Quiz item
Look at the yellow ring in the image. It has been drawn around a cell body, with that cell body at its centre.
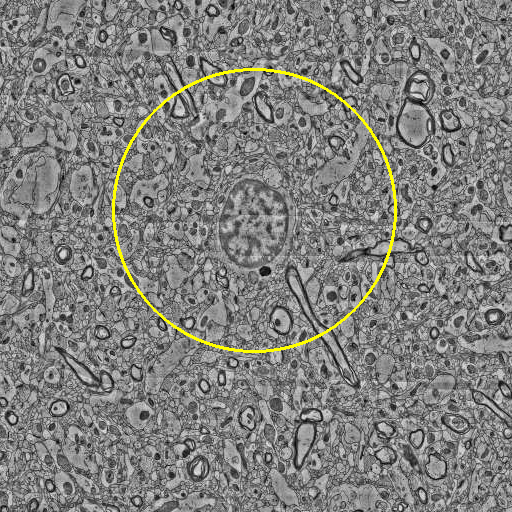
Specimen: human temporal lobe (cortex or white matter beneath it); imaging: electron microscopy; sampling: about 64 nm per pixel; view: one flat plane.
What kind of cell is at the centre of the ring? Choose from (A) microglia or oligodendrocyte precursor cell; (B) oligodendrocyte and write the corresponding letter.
B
